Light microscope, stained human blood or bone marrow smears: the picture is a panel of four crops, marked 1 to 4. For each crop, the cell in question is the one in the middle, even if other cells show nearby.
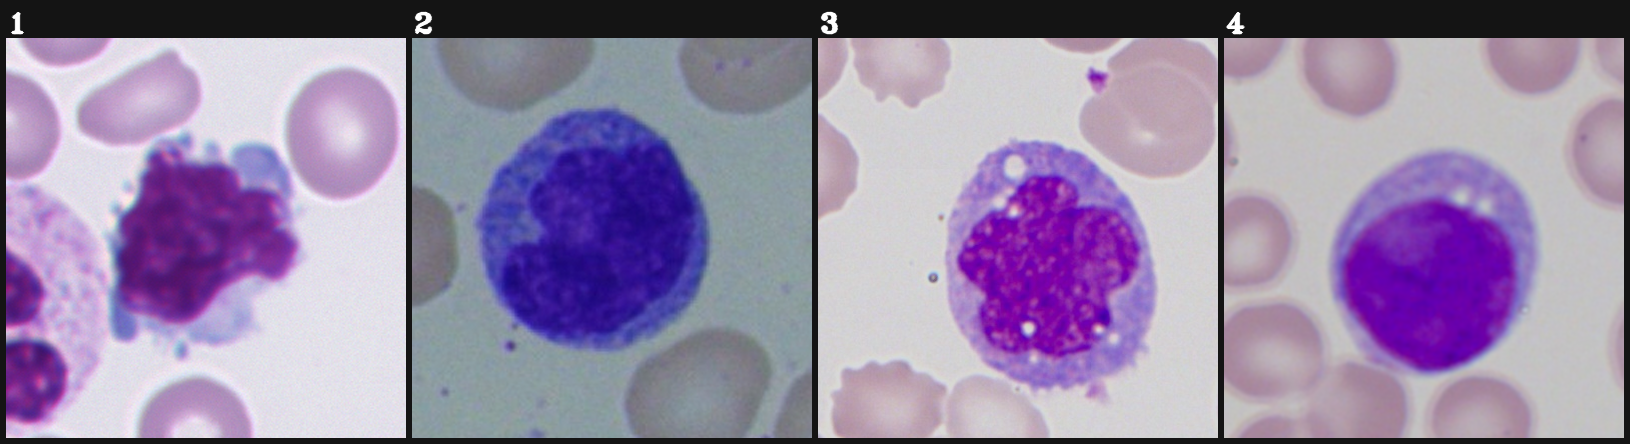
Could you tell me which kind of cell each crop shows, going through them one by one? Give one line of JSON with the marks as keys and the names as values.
{"1": "lymphocyte", "2": "monocyte", "3": "monocyte", "4": "blast"}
